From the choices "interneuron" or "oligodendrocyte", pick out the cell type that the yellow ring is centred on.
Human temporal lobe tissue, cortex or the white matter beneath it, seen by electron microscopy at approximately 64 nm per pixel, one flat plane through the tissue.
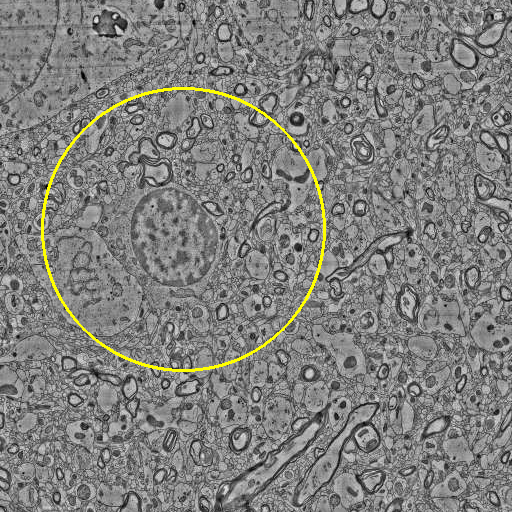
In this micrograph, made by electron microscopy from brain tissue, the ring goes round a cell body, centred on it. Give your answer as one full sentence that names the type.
The yellow ring is centred on an oligodendrocyte, whose cell body it encircles in the picture.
